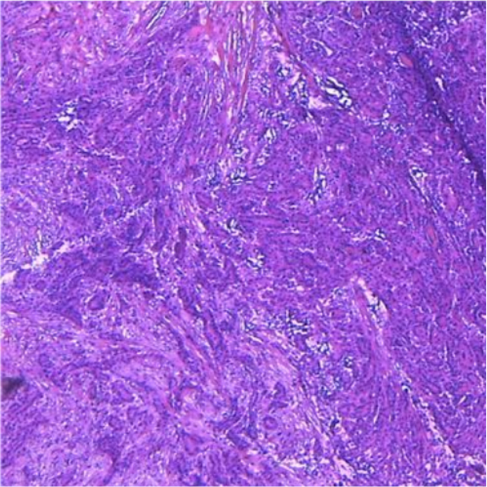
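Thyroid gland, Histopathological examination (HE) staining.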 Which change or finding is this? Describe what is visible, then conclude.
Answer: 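Cancer nest. Irregular nests and cords of dark purple cells. The nests are separated by pink fibrous stroma.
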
